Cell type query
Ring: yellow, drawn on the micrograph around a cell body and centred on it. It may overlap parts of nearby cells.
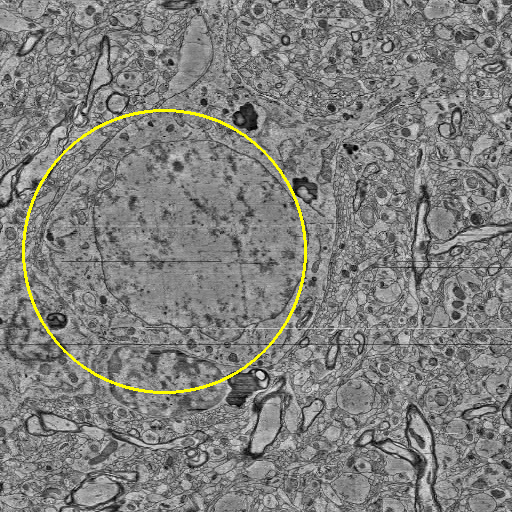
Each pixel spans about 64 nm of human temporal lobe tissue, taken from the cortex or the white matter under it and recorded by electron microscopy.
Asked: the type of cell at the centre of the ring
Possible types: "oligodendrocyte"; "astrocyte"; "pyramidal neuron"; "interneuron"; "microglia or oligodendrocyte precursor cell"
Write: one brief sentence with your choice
The ring marks a pyramidal neuron.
